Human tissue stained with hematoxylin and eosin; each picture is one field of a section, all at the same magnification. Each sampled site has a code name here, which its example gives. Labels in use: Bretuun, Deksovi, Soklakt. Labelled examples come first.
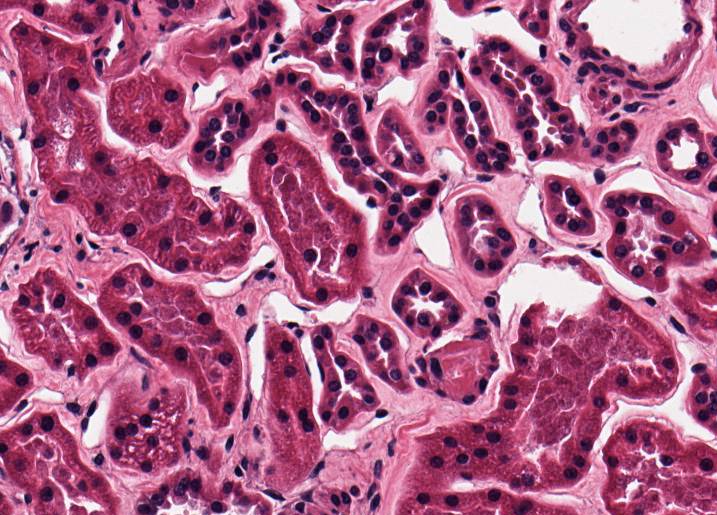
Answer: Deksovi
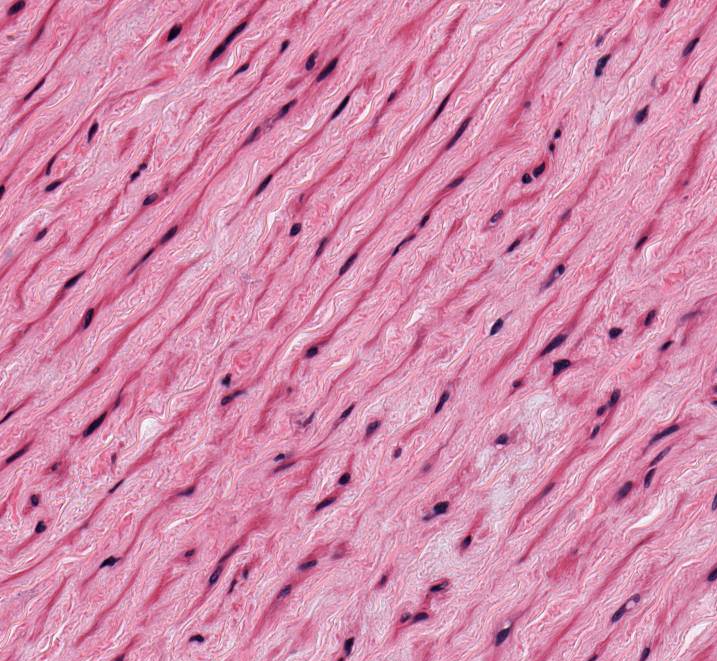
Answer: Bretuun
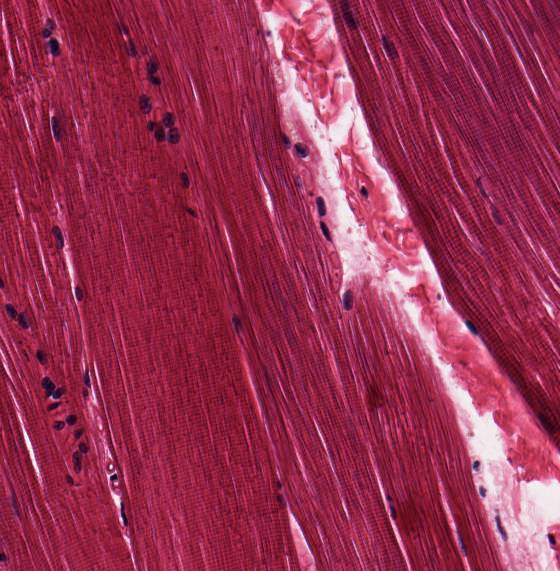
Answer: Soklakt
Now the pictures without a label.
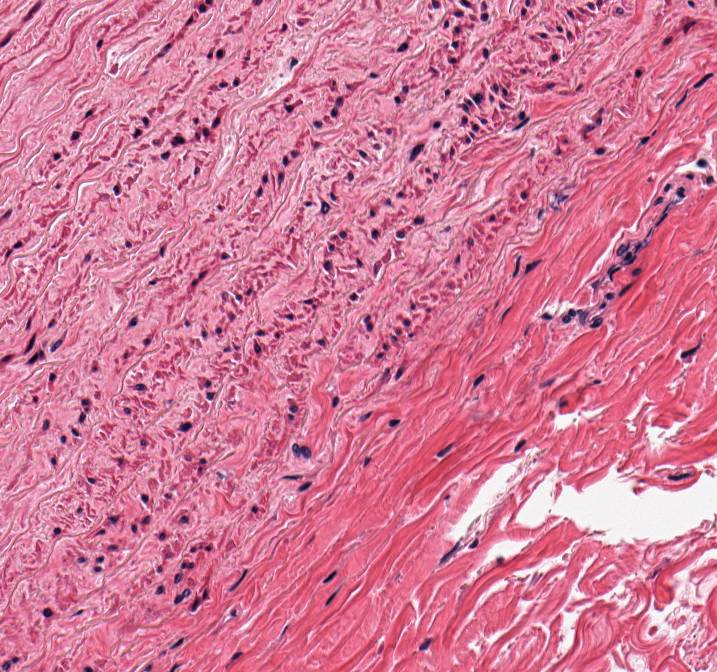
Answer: Bretuun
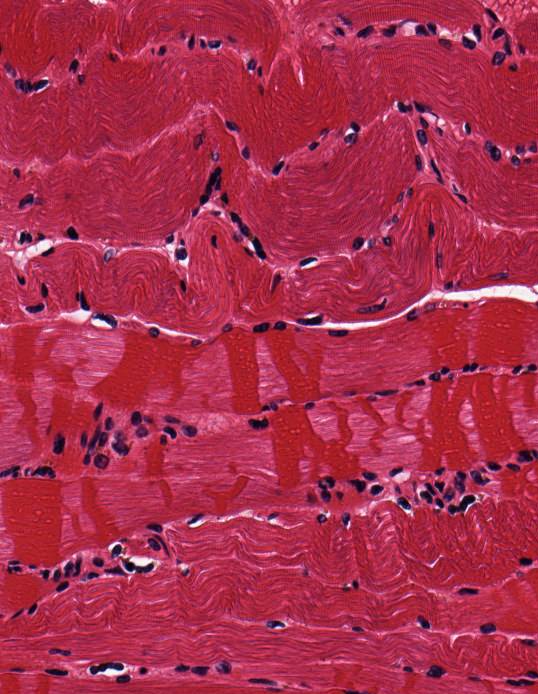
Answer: Soklakt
